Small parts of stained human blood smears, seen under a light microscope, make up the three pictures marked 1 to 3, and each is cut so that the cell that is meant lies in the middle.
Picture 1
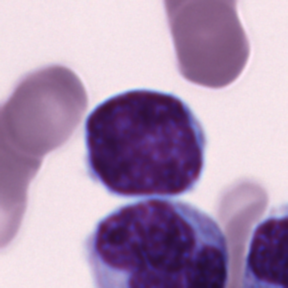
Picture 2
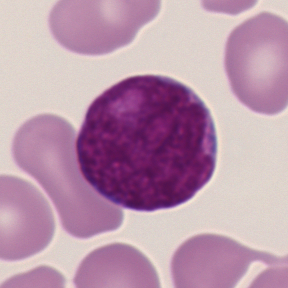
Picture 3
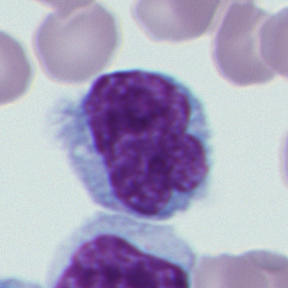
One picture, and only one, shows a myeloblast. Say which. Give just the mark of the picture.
2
